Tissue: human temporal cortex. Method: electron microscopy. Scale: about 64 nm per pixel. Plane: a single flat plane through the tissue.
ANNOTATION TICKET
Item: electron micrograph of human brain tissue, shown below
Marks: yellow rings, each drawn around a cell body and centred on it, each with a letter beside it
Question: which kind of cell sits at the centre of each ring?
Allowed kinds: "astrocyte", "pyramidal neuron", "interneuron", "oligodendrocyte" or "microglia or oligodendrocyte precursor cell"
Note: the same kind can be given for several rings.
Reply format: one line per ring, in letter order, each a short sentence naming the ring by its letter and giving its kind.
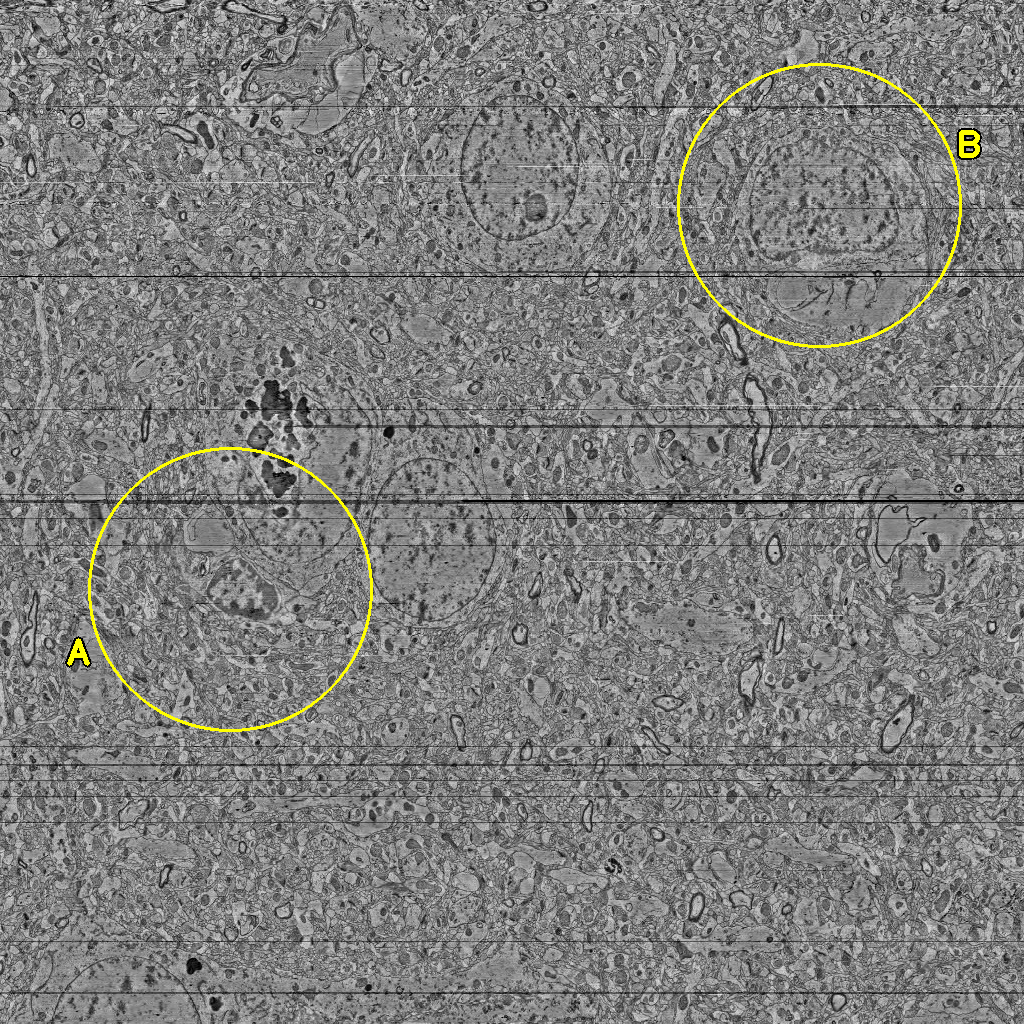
The cell at the centre of ring A is a microglial cell or oligodendrocyte precursor cell.
The cell at the centre of ring B is an interneuron.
